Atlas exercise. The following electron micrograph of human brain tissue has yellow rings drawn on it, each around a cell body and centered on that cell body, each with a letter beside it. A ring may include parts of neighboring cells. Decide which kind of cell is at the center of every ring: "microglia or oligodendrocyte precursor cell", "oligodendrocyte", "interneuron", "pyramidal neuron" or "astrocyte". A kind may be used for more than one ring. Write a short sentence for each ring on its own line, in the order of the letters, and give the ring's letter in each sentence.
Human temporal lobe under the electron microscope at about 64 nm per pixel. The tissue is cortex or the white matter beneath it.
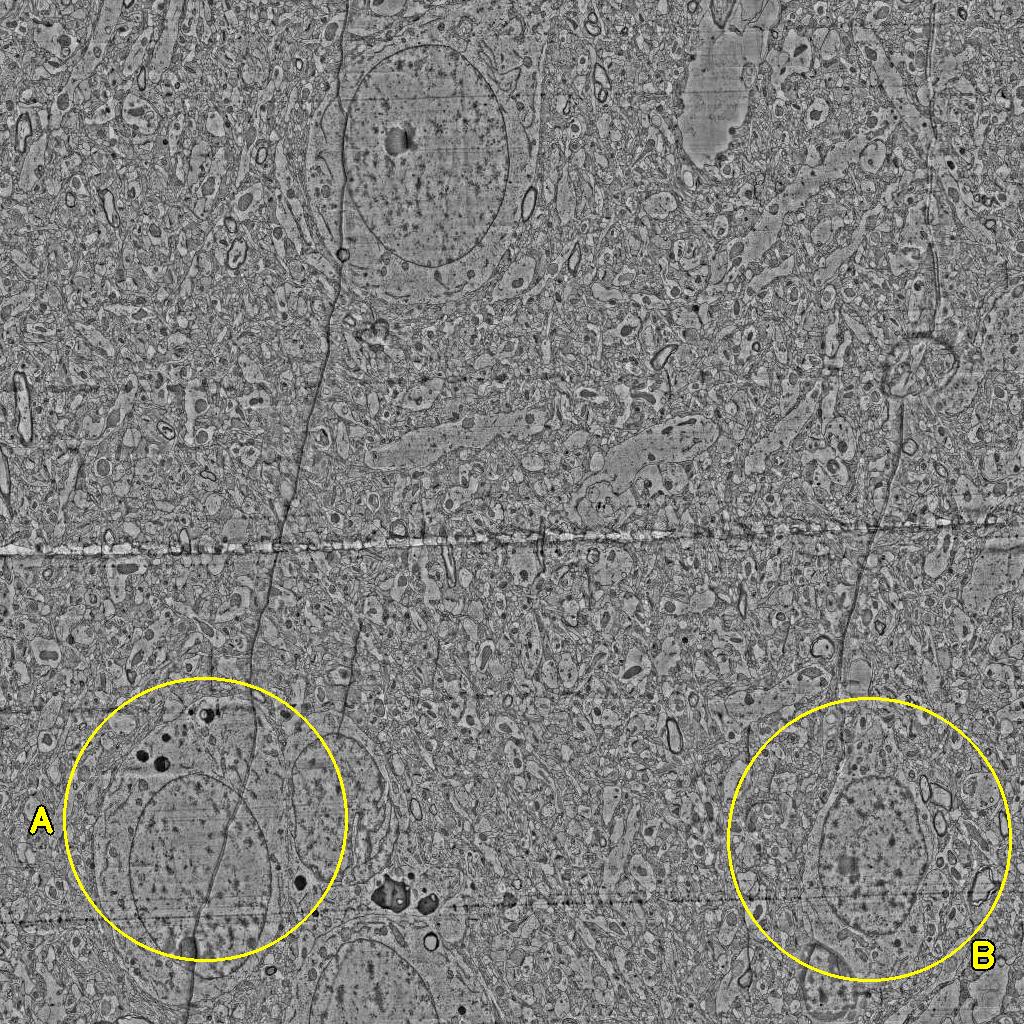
Ring A frames a pyramidal neuron at its center.
Ring B frames an interneuron at its center.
